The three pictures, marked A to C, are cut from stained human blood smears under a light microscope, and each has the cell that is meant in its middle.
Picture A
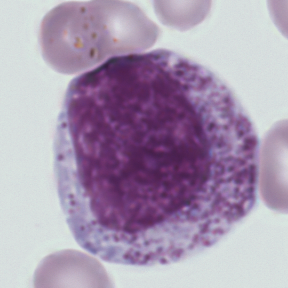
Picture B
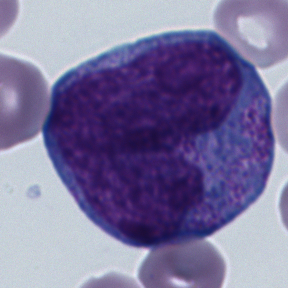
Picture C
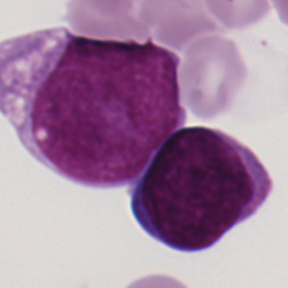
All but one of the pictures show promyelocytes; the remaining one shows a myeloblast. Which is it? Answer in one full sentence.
It is picture C that shows the myeloblast.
